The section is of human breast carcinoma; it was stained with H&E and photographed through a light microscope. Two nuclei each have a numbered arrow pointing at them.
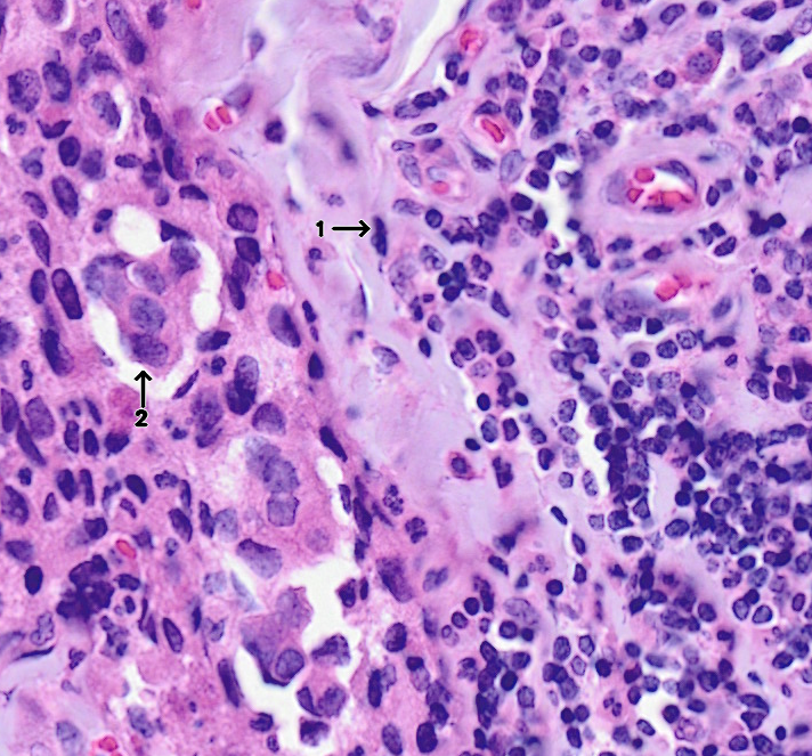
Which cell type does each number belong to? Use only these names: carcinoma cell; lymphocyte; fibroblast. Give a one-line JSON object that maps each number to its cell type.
{"1": "lymphocyte", "2": "carcinoma cell"}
